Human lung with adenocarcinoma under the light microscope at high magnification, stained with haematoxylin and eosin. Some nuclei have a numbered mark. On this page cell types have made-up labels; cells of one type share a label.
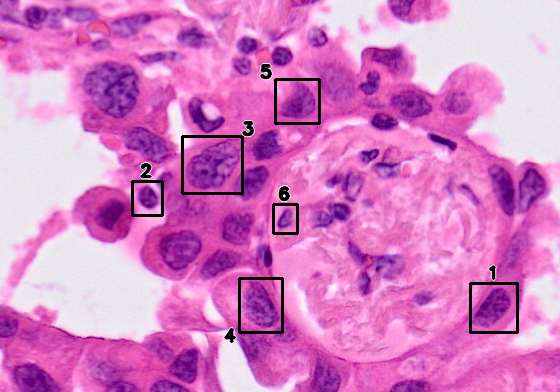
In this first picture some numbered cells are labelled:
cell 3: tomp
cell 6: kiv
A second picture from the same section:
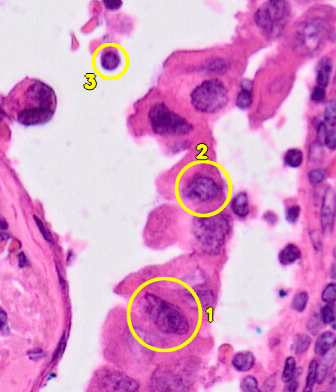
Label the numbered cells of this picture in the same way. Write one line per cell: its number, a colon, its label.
1: tomp
2: tomp
3: kiv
